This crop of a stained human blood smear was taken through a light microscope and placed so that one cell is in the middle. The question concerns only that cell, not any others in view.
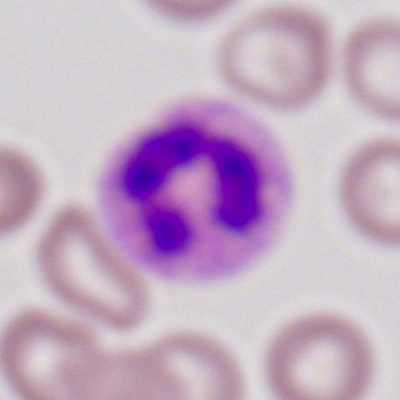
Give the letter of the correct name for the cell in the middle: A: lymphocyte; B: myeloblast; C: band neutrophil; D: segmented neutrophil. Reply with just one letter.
D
